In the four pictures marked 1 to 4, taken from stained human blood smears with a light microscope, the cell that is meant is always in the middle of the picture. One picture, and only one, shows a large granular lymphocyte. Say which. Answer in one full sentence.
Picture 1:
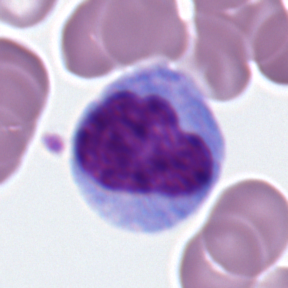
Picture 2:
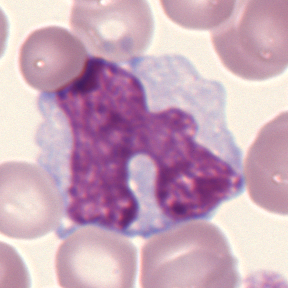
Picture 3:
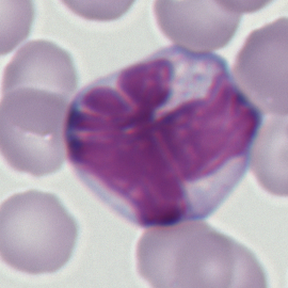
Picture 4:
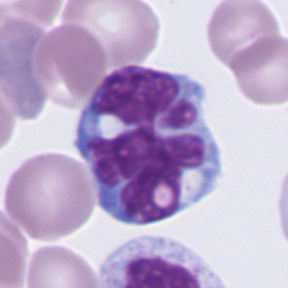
The cell in picture 3 is the large granular lymphocyte.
